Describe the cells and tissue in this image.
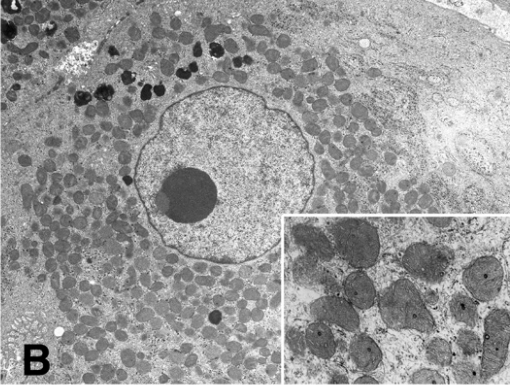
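This is a liver cell seen by transmission electron microscopy, with a large round nucleus holding a single prominent dense nucleolus. A few much darker, irregular bodies are scattered near the upper edge of the cell. At higher magnification the mitochondria vary somewhat in size and outline, some rounded, some elongated or angular, with small dense granules in their matrix.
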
